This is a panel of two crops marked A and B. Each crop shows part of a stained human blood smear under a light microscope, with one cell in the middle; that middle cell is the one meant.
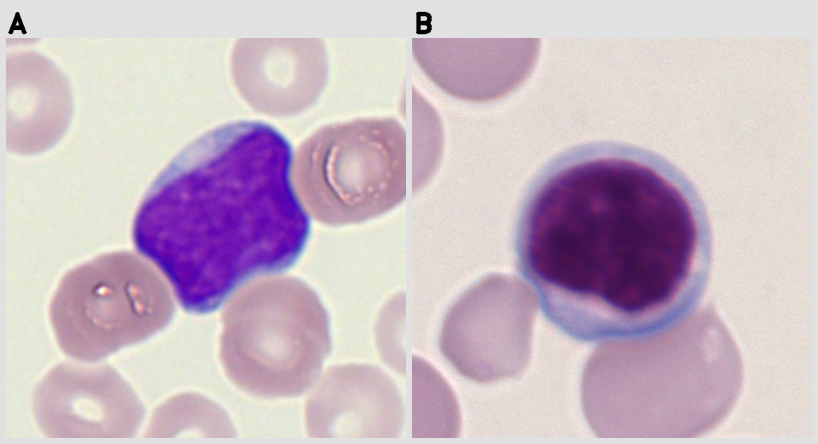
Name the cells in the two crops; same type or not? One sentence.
No, crop A features a blast, while crop B features a lymphocyte.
